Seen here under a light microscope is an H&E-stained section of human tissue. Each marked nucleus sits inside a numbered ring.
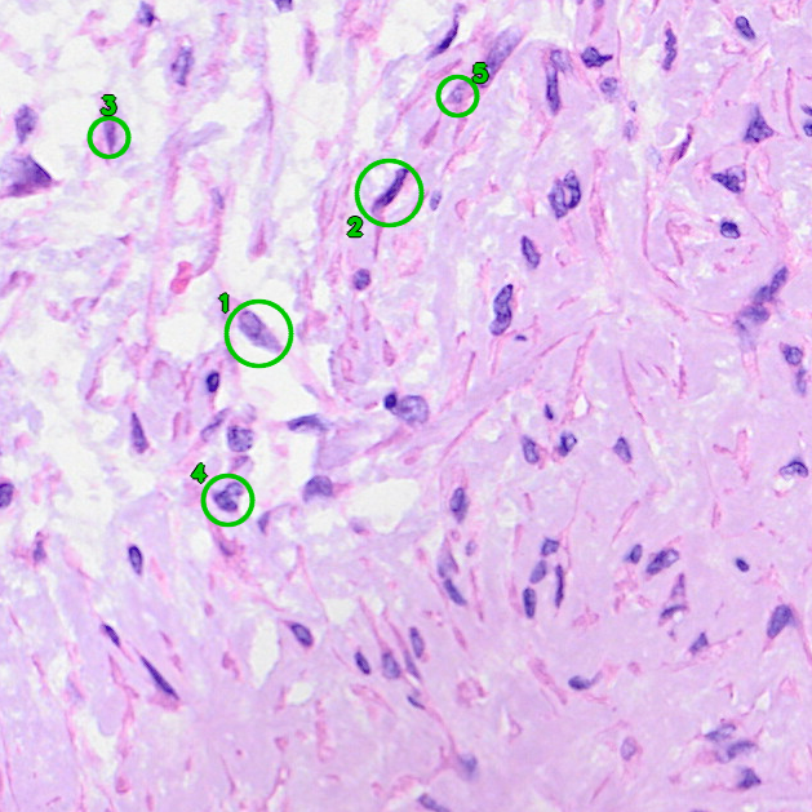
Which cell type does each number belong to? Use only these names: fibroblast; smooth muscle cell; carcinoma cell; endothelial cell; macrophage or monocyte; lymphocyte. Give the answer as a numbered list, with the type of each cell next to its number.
1. endothelial cell
2. fibroblast
3. fibroblast
4. macrophage or monocyte
5. fibroblast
